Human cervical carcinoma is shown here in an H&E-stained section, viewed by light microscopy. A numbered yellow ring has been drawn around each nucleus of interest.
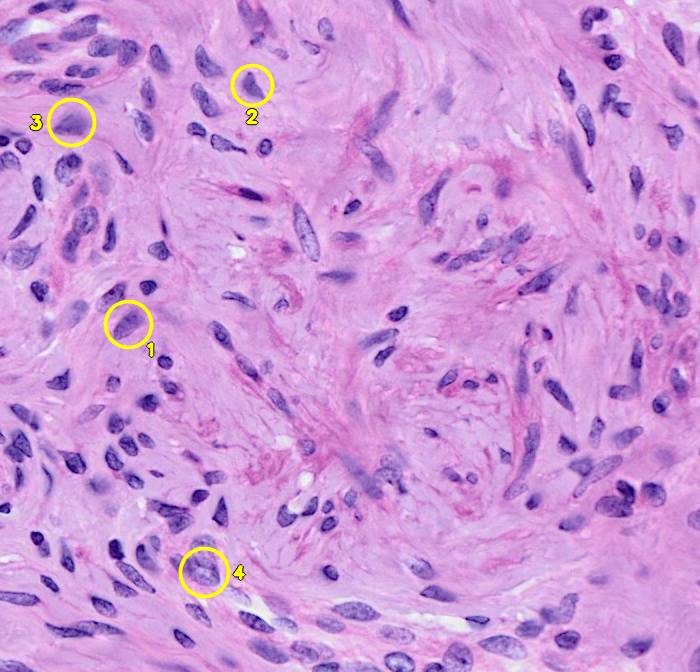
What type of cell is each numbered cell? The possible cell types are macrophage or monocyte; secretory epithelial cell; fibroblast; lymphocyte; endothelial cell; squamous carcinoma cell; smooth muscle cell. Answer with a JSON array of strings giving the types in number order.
["fibroblast", "fibroblast", "fibroblast", "endothelial cell"]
